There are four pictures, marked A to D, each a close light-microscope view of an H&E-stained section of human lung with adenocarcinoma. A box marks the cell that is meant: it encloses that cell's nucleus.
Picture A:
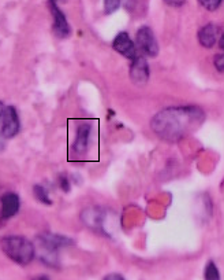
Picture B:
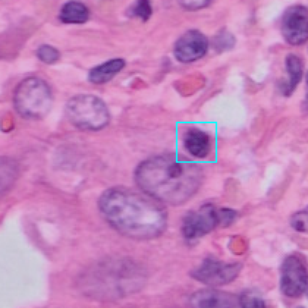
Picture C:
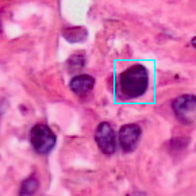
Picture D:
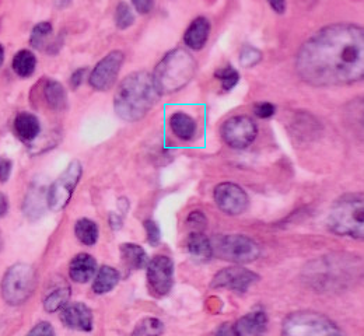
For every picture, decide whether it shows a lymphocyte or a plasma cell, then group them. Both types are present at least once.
A: plasma cell
B: lymphocyte
C: plasma cell
D: lymphocyte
